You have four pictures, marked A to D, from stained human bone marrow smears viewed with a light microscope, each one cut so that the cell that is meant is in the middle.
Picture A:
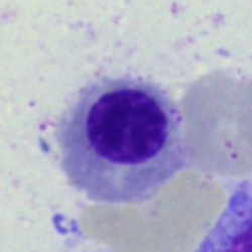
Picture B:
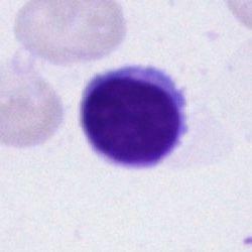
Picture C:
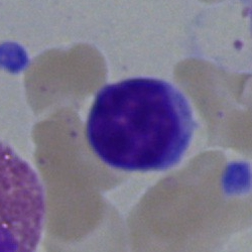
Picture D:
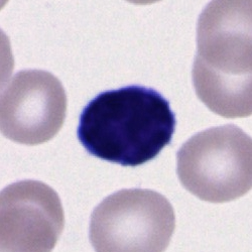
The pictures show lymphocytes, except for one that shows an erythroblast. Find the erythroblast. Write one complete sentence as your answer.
The cell in picture A is the erythroblast.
